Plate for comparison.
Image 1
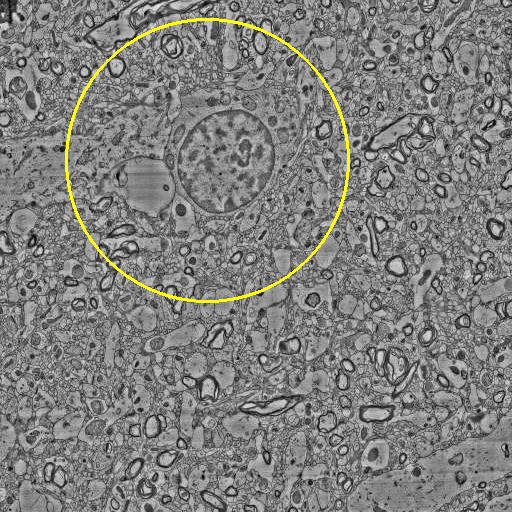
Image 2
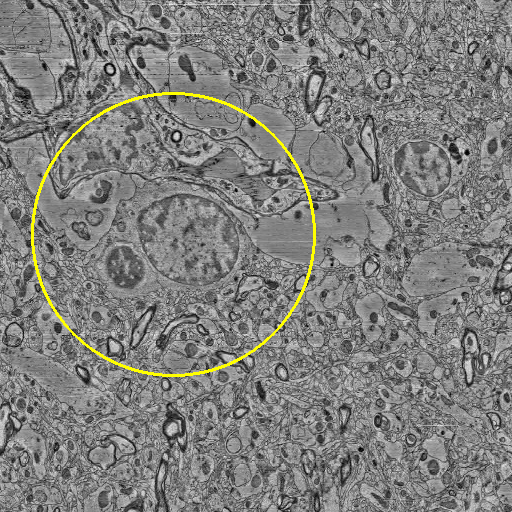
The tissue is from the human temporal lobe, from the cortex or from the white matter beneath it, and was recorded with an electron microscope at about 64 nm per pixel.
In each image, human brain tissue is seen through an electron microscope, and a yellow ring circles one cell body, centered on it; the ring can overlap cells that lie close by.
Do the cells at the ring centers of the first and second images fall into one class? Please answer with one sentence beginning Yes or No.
Yes, the first and second images show a single class of cell at the ring centers.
